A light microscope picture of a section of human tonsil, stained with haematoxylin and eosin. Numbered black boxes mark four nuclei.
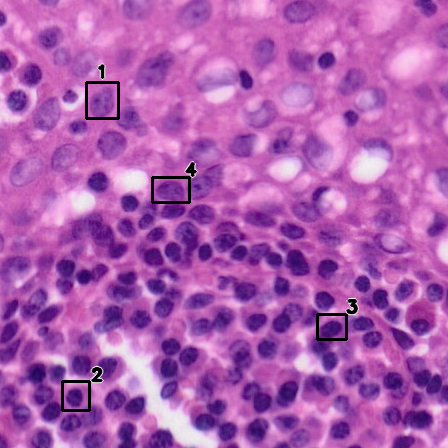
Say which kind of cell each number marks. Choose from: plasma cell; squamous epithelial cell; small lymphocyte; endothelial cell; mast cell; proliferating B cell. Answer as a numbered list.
1. squamous epithelial cell
2. plasma cell
3. plasma cell
4. squamous epithelial cell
